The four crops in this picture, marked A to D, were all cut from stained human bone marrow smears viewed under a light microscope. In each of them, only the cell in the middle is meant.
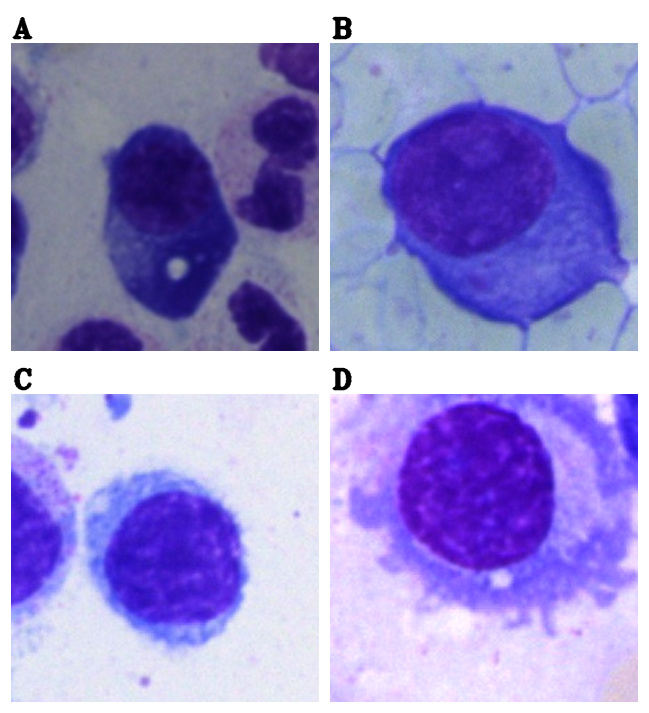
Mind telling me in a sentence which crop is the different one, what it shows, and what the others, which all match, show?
Whereas the other crops show plasma cells, crop C is a lymphocyte.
